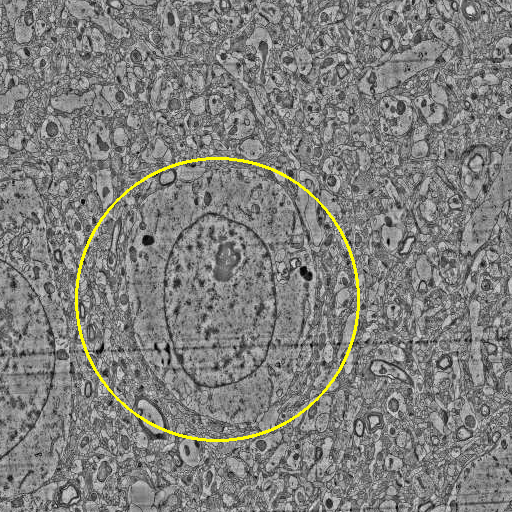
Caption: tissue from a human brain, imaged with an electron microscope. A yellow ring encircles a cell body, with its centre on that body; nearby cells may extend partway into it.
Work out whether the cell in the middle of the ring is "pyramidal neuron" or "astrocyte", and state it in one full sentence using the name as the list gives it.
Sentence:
In the picture, the cell that the yellow ring surrounds at its centre is a pyramidal neuron.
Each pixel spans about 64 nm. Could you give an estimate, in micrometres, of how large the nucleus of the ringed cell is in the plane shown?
Roughly 11 by 7 micrometers, clearly longer than it is wide in this plane.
